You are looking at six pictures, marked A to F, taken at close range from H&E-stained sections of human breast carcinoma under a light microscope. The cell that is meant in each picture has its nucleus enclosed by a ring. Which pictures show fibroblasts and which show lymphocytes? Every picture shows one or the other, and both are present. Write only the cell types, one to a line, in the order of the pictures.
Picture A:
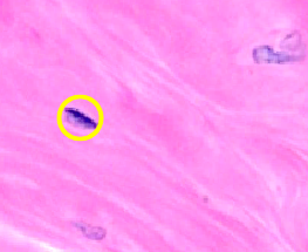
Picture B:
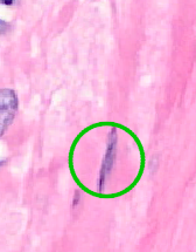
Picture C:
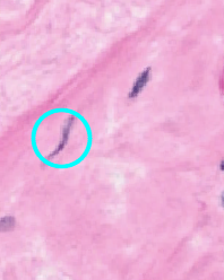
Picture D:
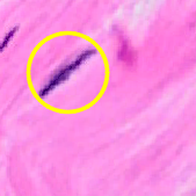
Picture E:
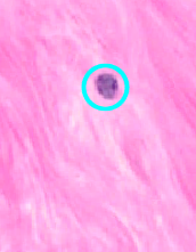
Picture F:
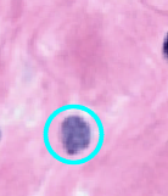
fibroblast
fibroblast
fibroblast
fibroblast
lymphocyte
lymphocyte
